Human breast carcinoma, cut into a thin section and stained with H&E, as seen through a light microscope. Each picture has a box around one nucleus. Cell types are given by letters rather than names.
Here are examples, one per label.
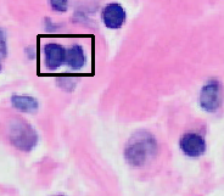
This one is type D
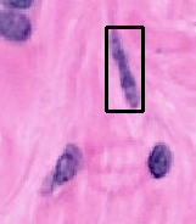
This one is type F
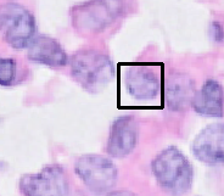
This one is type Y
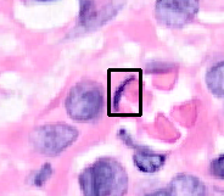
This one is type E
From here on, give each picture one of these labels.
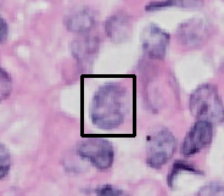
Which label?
type Y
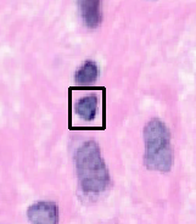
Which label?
type D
